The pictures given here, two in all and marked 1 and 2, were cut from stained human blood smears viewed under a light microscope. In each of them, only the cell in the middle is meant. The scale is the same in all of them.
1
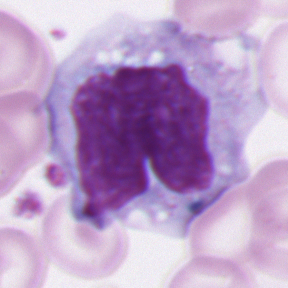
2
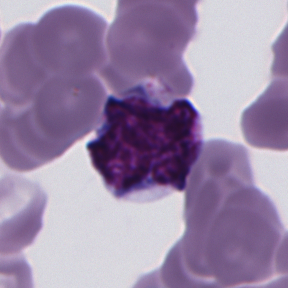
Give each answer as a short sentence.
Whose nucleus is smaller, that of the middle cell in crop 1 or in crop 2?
Crop 2 shows the smaller nucleus, since that in crop 1 covers about 2 times as much area.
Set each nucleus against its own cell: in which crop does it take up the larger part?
Of the two, the nucleus in crop 2 makes up the greater part of its cell.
